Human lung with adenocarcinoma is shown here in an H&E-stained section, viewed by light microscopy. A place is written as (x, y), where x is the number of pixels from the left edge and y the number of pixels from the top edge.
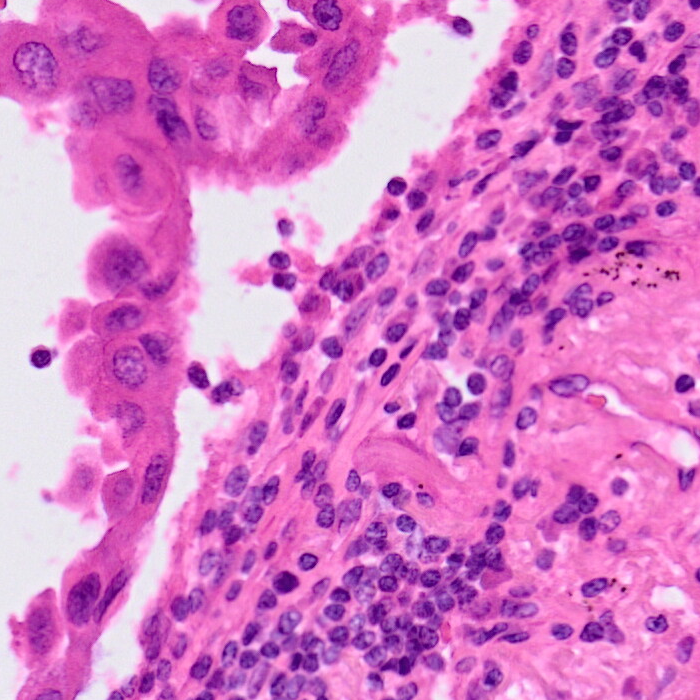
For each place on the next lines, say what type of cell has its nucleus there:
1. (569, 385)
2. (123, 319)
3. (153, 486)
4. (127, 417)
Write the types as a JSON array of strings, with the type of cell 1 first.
["endothelial cell", "carcinoma cell", "carcinoma cell", "carcinoma cell"]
